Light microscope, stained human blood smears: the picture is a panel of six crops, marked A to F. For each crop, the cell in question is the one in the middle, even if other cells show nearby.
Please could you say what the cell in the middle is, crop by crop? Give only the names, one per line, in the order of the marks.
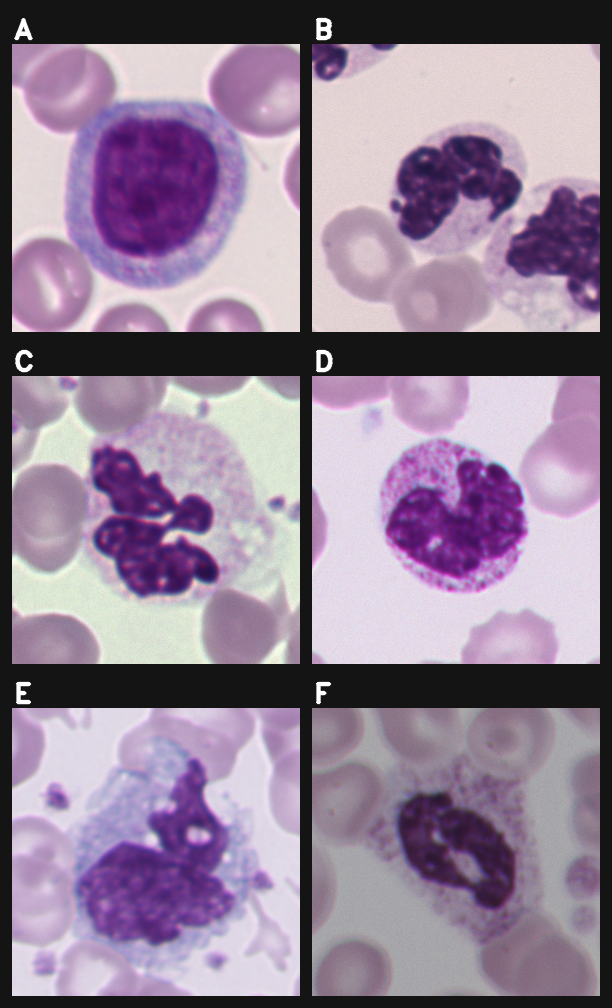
myelocyte
segmented neutrophil
segmented neutrophil
segmented neutrophil
monocyte
segmented neutrophil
